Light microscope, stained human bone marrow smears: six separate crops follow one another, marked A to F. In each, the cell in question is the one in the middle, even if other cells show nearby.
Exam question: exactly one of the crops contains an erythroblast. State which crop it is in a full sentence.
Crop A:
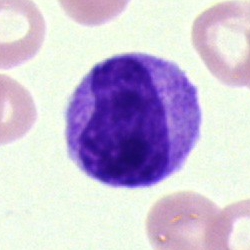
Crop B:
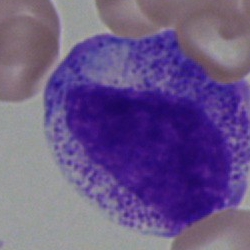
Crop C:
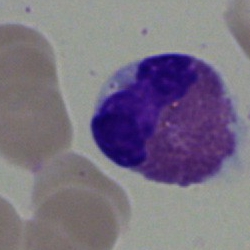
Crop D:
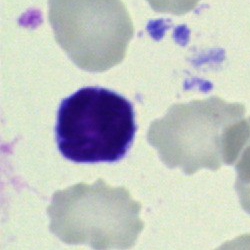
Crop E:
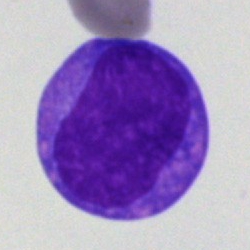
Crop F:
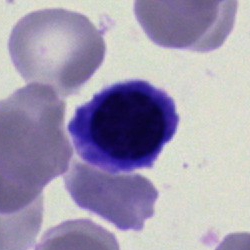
Crop F is the one to choose: it shows an erythroblast.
